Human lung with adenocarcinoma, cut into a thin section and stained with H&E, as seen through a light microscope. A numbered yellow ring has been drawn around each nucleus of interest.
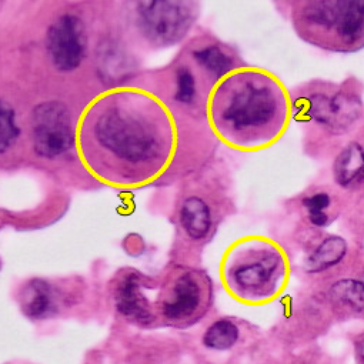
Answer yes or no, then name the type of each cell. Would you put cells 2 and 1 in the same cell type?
No, cell 2 counts as a carcinoma cell, and cell 1 counts as a macrophage or monocyte.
